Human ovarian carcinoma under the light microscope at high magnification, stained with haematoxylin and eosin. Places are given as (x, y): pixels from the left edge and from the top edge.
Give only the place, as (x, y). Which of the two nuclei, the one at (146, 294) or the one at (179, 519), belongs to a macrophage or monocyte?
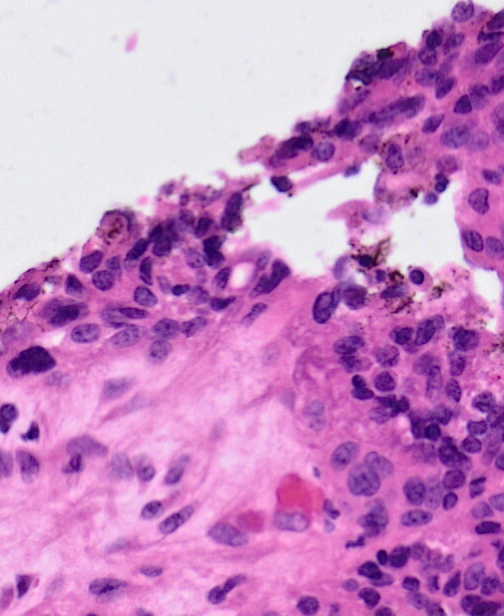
(146, 294)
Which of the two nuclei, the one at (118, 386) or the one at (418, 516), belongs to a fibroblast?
(118, 386)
